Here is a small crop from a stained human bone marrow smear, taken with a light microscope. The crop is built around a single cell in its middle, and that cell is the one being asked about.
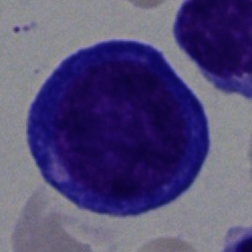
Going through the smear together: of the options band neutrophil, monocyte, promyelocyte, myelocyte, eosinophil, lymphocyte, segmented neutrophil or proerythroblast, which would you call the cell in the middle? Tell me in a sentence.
The central cell, amid any neighbouring cells, is a proerythroblast.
